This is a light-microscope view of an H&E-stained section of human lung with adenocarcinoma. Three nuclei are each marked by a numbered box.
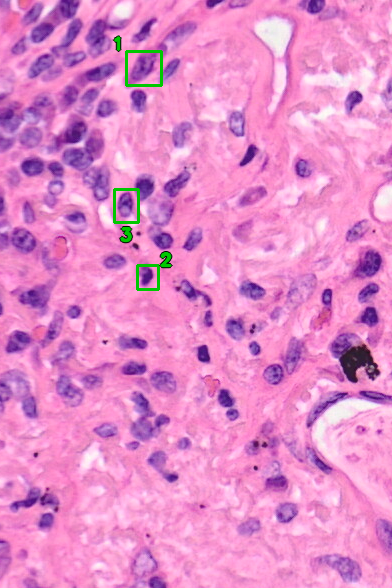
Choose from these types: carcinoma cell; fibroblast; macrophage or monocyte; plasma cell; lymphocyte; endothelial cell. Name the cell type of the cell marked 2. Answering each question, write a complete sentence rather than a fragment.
Identified as a lymphocyte is the cell bearing the number 2.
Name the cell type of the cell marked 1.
In the tissue shown, cell 1 is a plasma cell.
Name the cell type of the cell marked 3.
The one numbered 3 among the marked cells is a lymphocyte.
